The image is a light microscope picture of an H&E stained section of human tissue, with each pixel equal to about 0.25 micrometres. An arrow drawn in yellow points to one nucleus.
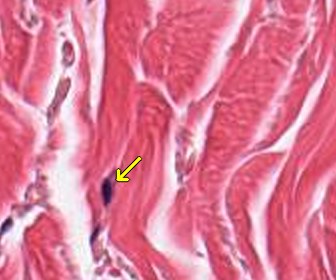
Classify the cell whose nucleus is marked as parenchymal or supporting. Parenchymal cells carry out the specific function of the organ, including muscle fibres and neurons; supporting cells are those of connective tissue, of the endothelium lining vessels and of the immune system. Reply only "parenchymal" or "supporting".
supporting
